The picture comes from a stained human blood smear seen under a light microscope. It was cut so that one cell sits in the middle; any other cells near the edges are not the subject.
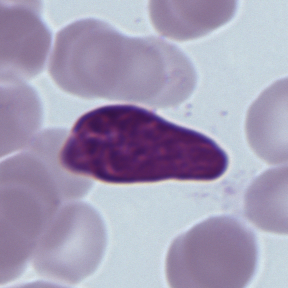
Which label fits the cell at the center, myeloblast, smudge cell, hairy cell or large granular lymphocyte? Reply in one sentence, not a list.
The cell centered in this field of view is a smudge cell.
